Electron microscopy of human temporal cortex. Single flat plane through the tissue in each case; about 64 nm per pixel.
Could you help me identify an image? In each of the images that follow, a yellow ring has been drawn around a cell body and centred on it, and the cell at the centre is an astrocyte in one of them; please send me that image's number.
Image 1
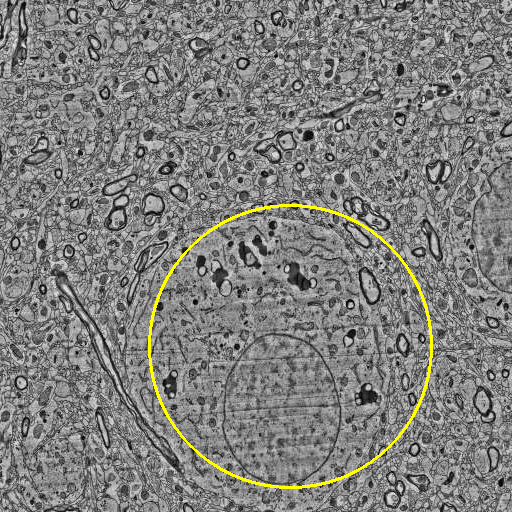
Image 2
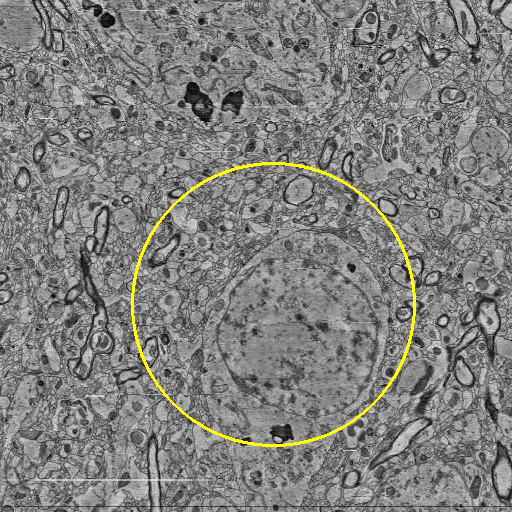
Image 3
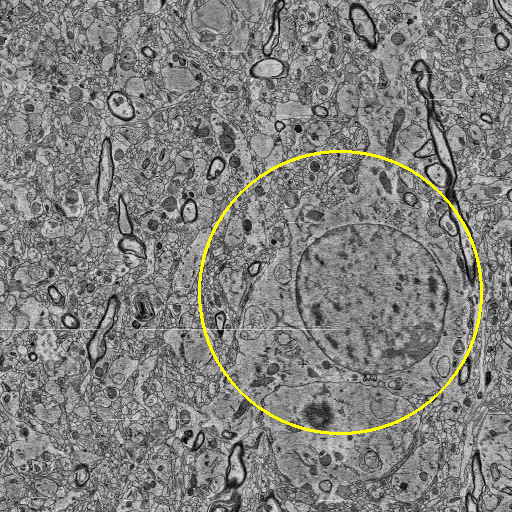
3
